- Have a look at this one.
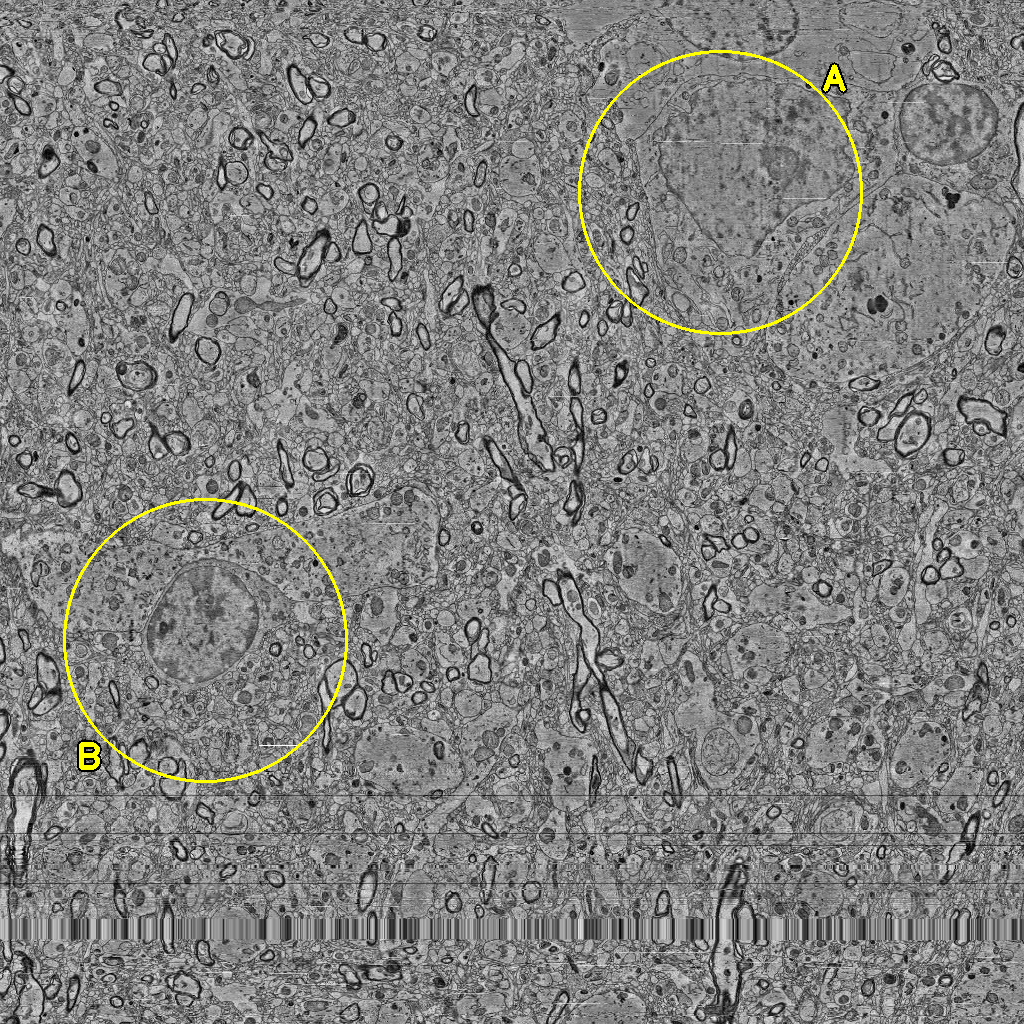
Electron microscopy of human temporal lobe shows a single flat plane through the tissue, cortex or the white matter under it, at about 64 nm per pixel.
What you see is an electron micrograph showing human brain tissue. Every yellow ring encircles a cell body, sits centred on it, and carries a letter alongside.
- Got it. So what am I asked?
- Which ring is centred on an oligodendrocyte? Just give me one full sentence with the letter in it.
The cell asked for sits in the centre of the ring lettered B.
